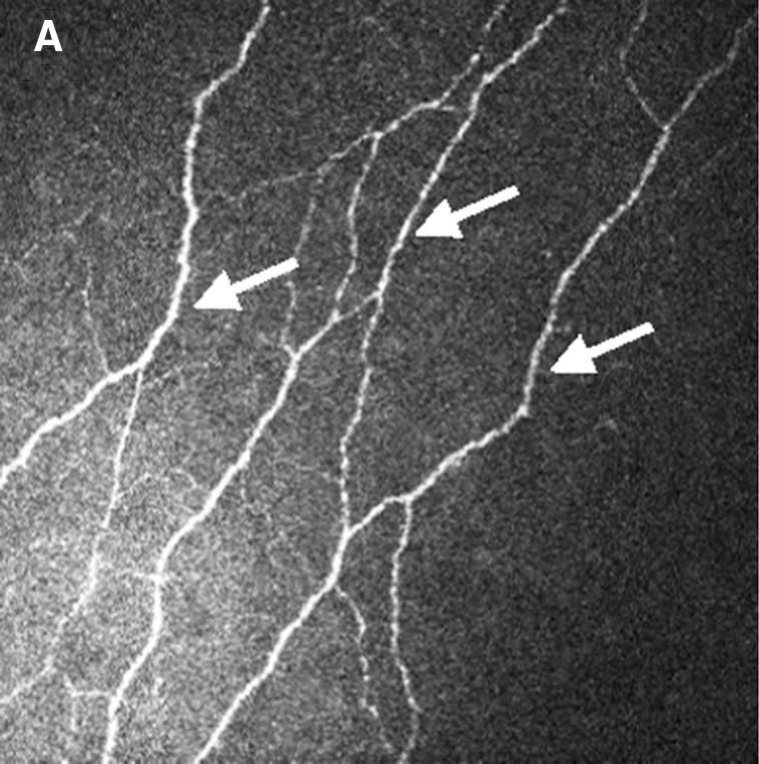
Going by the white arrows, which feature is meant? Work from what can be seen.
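Axons of the corneal nerves. Long, thin, bright lines run roughly in parallel across a dark background. The bright lines are beaded and branch occasionally, joining one another. No cell bodies are seen along the bright lines.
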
